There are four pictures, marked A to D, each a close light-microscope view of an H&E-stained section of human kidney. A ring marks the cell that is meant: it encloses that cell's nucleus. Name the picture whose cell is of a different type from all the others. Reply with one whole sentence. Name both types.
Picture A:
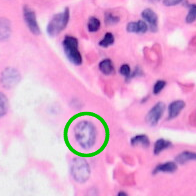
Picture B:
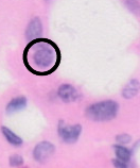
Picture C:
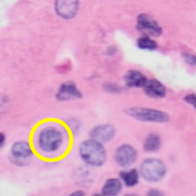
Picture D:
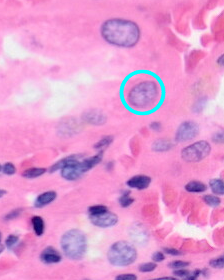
Picture D is the odd one out: it shows a proximal tubule cell, while the others show collecting duct cells.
